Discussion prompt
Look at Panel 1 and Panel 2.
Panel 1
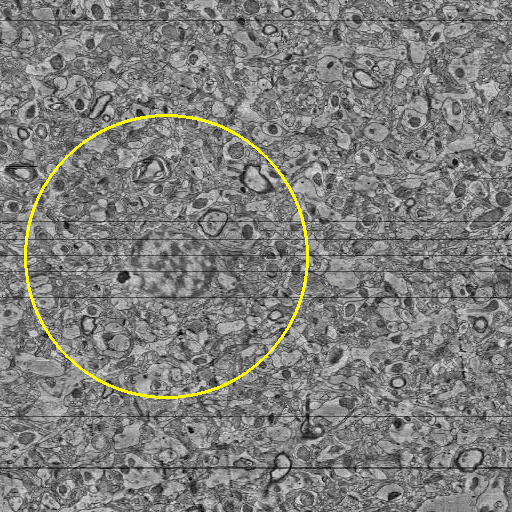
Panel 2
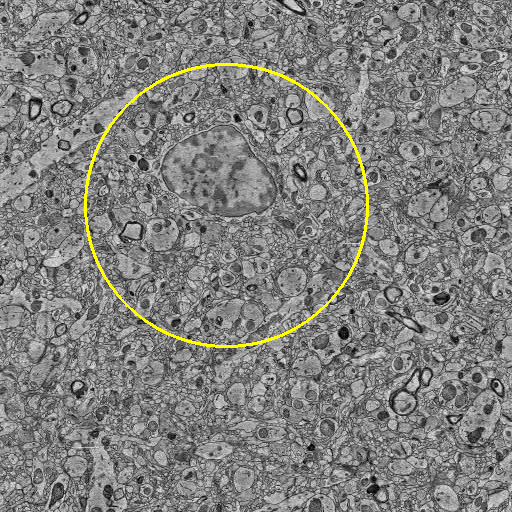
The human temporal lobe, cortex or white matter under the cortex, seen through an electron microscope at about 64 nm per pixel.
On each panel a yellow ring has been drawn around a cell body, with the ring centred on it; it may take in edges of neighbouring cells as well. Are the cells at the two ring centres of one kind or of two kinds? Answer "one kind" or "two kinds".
two kinds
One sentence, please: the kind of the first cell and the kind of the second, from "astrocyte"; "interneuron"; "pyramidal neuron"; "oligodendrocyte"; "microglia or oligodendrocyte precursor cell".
The ring in the first picture surrounds an oligodendrocyte, and the ring in the second surrounds a microglial cell or oligodendrocyte precursor cell.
